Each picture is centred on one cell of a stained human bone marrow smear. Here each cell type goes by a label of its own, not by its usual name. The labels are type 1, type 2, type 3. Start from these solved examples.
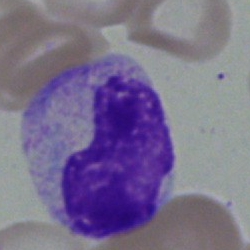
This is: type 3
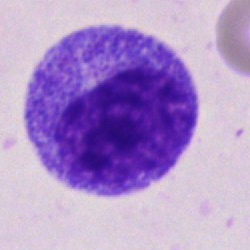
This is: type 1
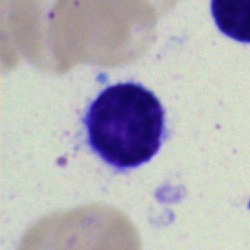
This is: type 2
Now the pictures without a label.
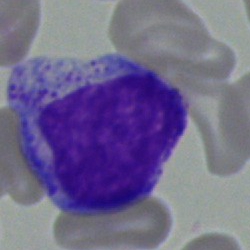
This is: type 1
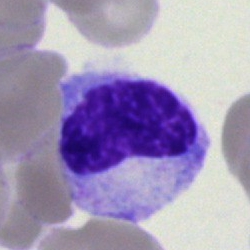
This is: type 3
